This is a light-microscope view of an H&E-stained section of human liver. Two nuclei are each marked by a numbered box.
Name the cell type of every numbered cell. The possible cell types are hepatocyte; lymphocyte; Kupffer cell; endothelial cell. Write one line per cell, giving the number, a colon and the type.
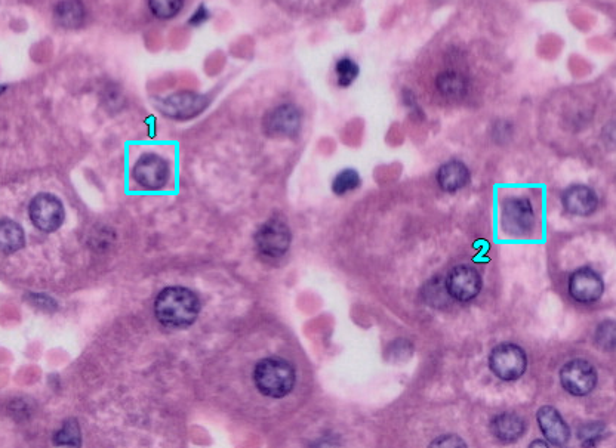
1: hepatocyte
2: endothelial cell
